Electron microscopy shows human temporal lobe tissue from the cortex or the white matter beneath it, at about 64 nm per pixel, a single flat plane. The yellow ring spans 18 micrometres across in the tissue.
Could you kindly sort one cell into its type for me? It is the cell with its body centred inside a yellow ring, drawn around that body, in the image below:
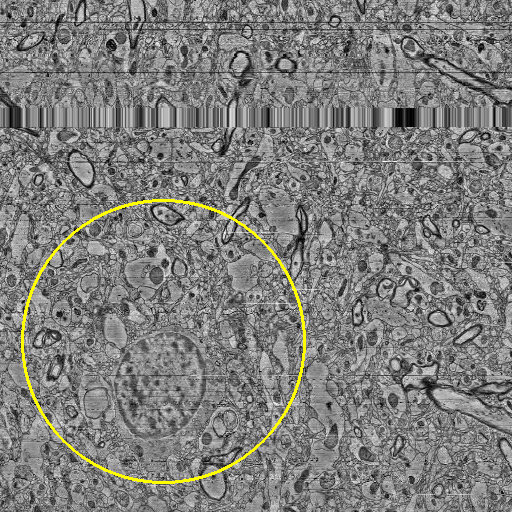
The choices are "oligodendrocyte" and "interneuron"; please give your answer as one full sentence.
The cell whose body lies centred in the yellow ring here is an oligodendrocyte.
